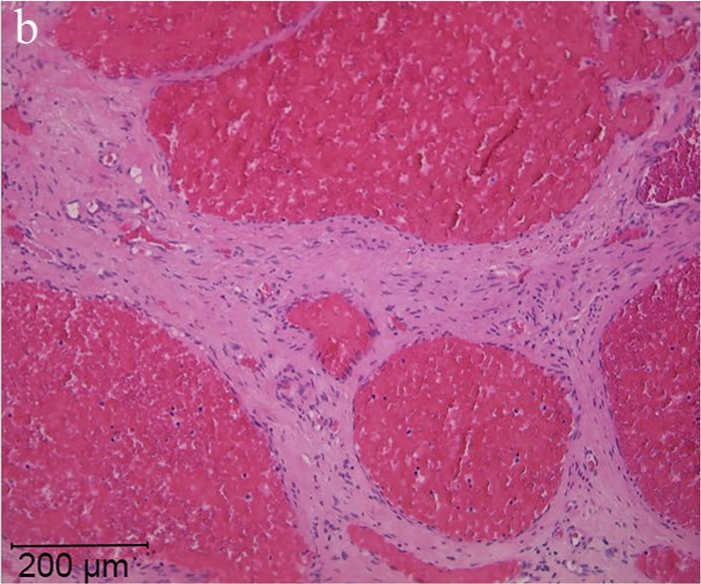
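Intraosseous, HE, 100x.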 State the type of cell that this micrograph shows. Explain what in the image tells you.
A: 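Endothelial cells. A single thin layer of flattened cells with small, dark nuclei rims each red-filled space. The lining nuclei are small and uniform.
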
